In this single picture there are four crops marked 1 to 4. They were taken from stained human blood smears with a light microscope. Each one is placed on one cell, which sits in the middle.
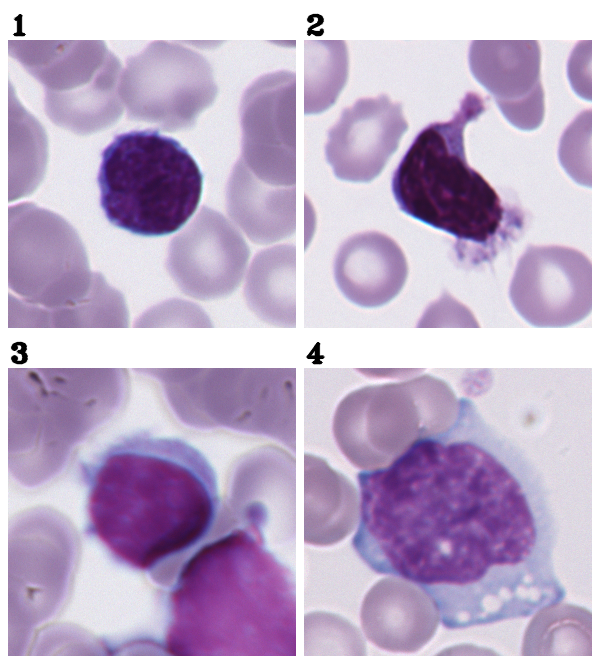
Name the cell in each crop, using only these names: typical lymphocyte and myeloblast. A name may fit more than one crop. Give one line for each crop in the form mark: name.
1: typical lymphocyte
2: myeloblast
3: typical lymphocyte
4: myeloblast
